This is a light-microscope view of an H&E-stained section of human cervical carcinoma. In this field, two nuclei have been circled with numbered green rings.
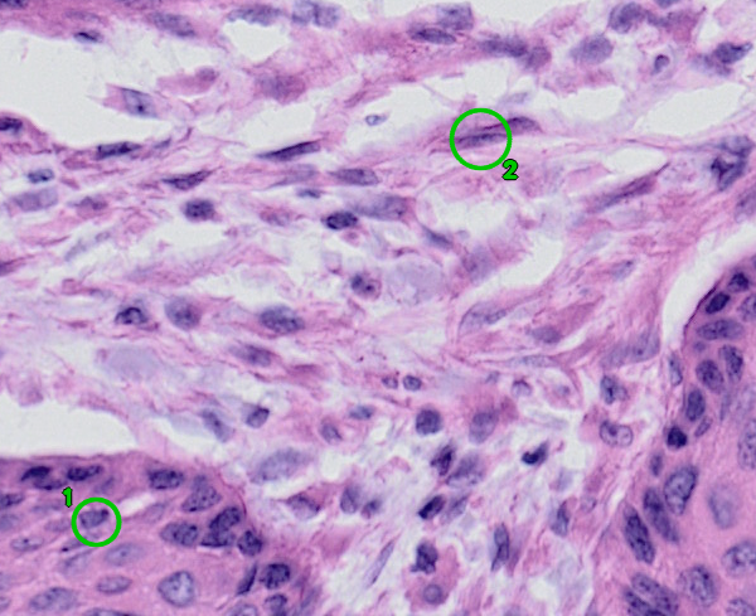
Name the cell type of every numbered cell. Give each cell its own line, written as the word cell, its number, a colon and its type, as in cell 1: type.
cell 1: squamous carcinoma cell
cell 2: fibroblast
